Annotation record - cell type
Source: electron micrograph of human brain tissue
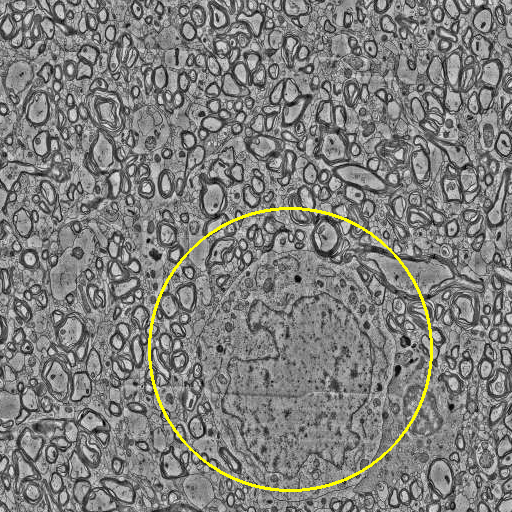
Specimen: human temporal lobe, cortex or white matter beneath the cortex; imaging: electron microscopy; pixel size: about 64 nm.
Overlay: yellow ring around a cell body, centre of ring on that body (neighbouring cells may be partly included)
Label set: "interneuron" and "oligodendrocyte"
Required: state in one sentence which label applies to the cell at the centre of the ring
This cell should be labelled as an interneuron.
